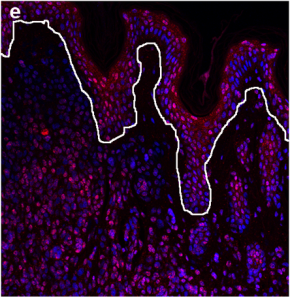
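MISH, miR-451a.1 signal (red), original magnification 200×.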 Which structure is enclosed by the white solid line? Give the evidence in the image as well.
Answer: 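The line follows the undulating lower border of a stratified epithelium with downward ridges. Above the line lie layered epithelial cells; below it lie dermal cells. That points to this answer: epidermal-dermal junction.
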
